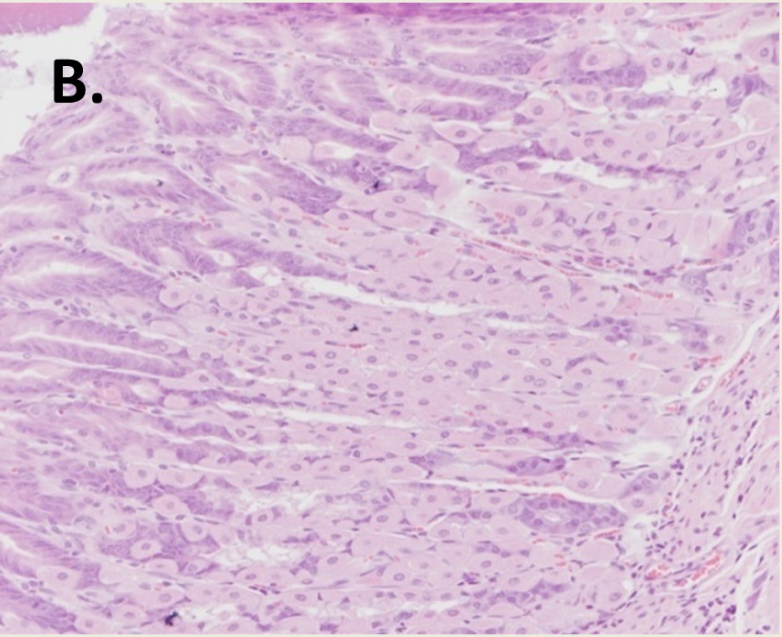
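This is the fundic mucosa of the stomach, with straight glands packed side by side and running across the field. Many of the gland cells are large and polygonal, with bright pink cytoplasm and a round, central nucleus. Among them lie groups of cells with purple, basophilic cytoplasm. The glands are tightly packed, with only thin strands of connective tissue and capillaries holding red blood cells between them. No areas of pale, foamy, mucin-filled cells are seen.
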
